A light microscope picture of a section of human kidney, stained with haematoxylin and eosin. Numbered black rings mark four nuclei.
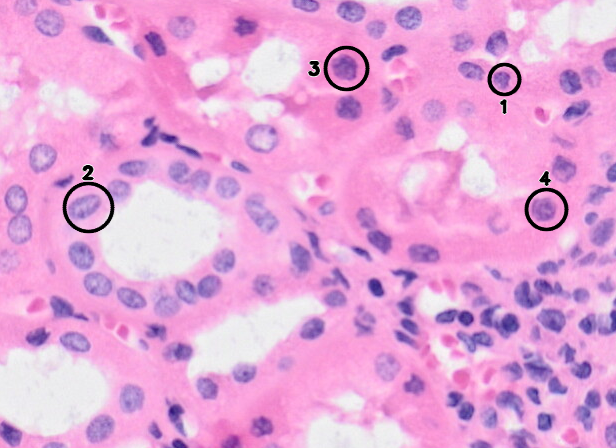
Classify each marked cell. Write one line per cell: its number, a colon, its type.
1: loop of Henle or distal tubule cell
2: collecting duct cell
3: proximal tubule cell
4: proximal tubule cell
